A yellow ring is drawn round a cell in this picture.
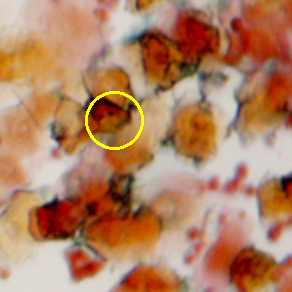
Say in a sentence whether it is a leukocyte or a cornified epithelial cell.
The cell in the ring is a cornified epithelial cell.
